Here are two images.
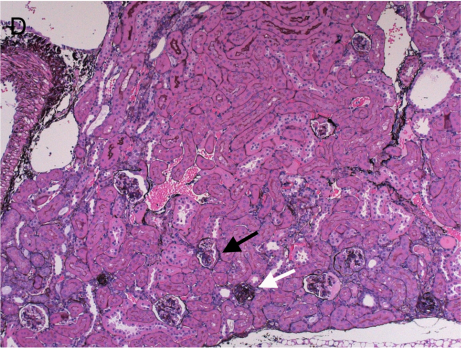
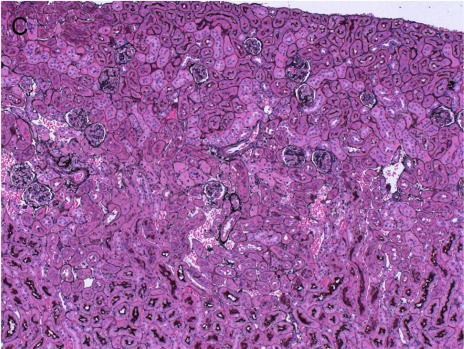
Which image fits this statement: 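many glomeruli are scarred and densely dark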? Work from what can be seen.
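First image: several glomeruli appear as small, dense, dark tufts among the tubules. Second image: glomeruli have open, evenly lobulated tufts and none is uniformly dark. That points to this answer: the first image.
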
